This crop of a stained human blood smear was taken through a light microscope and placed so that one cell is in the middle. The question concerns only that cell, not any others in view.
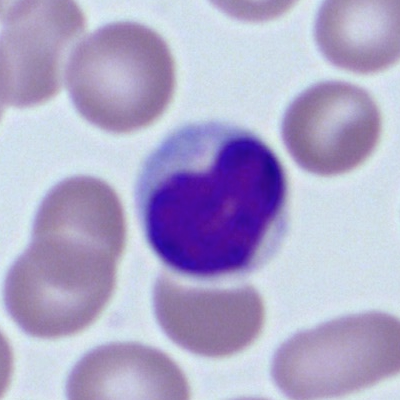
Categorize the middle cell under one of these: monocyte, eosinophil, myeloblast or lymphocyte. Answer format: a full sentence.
The cell at the centre of the field is a lymphocyte.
